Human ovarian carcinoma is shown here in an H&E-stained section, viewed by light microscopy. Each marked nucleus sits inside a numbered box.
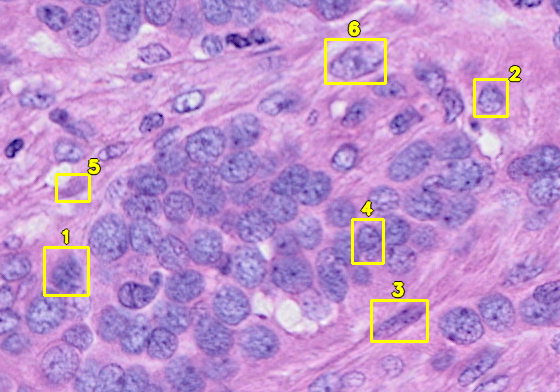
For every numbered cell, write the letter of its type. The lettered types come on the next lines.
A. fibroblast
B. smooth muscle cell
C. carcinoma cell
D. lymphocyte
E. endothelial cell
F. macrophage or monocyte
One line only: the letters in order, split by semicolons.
C; A; A; C; A; A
